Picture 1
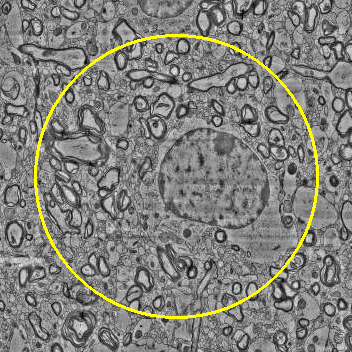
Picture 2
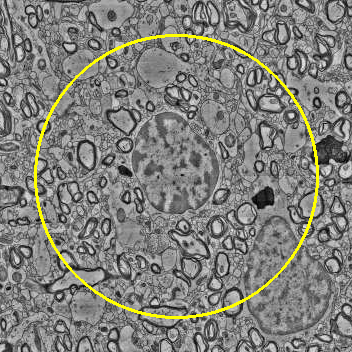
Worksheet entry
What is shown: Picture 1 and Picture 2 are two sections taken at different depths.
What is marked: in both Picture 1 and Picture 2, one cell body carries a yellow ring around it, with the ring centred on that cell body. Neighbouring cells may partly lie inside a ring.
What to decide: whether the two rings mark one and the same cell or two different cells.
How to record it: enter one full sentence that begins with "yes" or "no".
No, these yellow rings each mark a separate cell.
